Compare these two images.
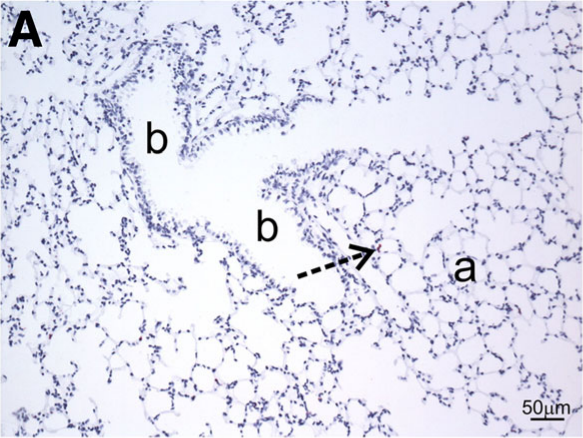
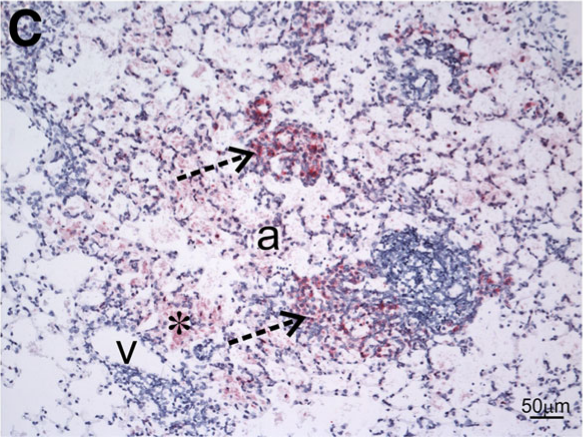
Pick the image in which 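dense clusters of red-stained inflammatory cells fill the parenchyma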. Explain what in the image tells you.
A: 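First image: thin alveolar walls with open airspaces and hardly any red staining. Second image: large clusters of red-stained cells and crowded, thickened parenchyma.
Conclusion: the second image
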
